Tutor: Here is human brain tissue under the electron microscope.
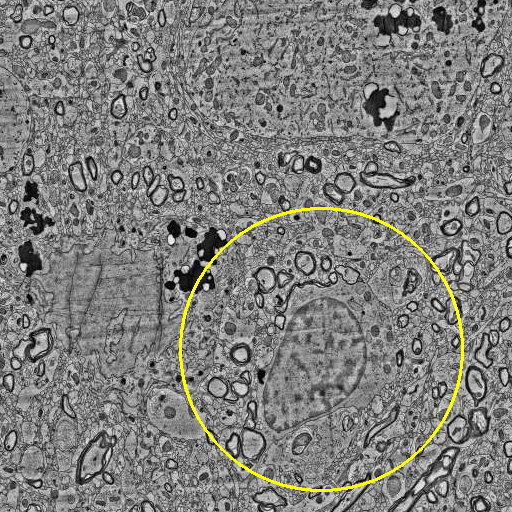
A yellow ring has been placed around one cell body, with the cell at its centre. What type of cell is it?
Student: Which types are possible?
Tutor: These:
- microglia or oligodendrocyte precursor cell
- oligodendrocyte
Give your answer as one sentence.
What the ring picks out here is an oligodendrocyte.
